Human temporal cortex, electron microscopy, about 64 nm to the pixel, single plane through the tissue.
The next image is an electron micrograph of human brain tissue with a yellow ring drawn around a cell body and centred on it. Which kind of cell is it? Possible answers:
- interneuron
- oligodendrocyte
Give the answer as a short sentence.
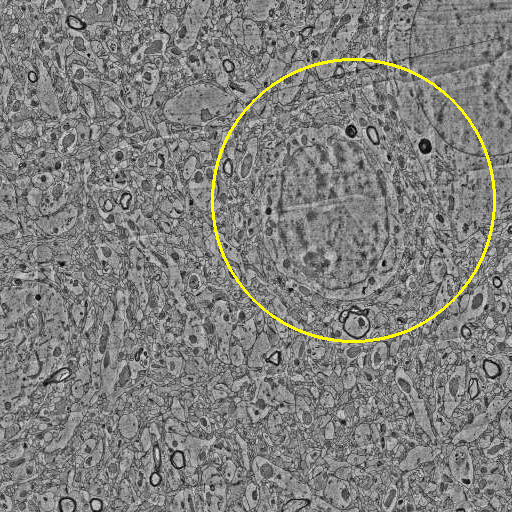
In the ring's centre is an interneuron.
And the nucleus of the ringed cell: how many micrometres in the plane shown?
About 10 by 7 micrometers, in this plane.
